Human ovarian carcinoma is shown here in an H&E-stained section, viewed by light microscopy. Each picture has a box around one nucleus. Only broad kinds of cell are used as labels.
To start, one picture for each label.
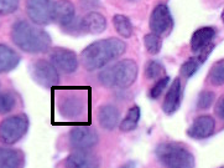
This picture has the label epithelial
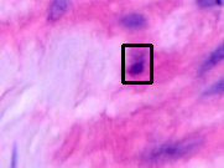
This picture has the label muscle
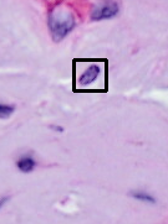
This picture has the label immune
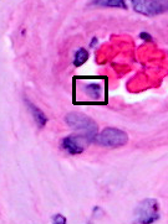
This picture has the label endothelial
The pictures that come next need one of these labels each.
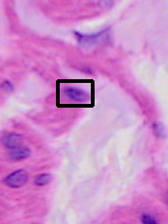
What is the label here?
muscle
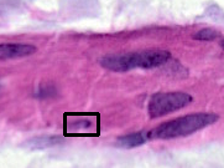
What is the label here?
muscle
